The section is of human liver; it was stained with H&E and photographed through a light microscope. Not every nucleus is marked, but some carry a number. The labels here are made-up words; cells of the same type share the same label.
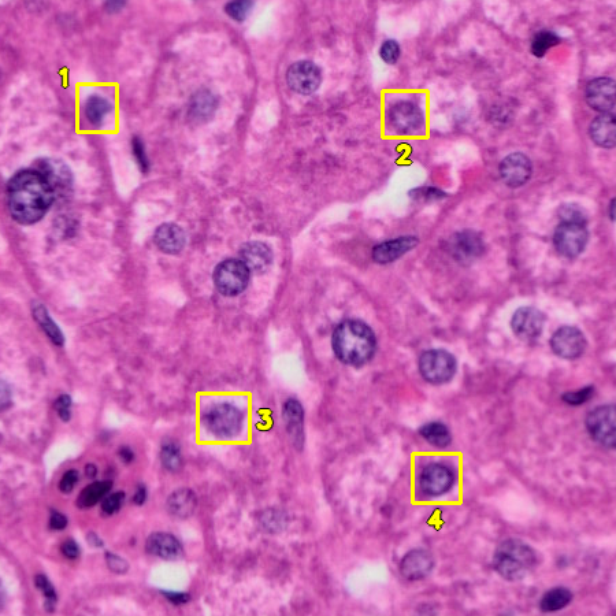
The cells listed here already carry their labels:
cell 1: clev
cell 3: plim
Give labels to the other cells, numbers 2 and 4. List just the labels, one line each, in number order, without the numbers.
plim
plim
